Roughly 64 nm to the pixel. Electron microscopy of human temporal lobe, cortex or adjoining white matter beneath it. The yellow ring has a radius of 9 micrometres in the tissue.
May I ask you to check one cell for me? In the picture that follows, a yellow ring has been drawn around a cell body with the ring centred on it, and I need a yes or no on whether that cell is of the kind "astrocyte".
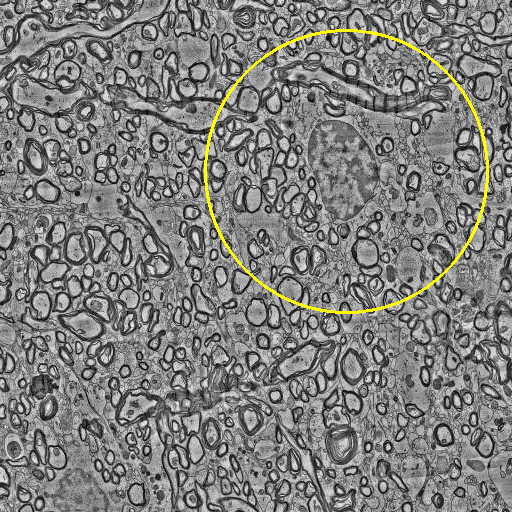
No, it is some other kind of cell.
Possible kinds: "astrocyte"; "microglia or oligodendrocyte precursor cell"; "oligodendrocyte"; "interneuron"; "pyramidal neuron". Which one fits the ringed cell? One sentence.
Instead, what sits at the centre of the ring is a microglial cell or oligodendrocyte precursor cell.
